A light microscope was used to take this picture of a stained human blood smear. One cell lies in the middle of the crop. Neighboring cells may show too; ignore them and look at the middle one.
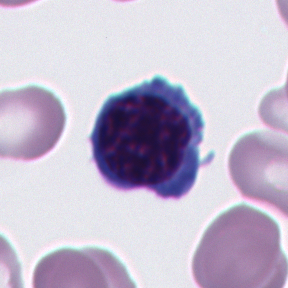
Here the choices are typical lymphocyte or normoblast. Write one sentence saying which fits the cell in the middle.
In this crop, the cell at the very middle is a normoblast.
